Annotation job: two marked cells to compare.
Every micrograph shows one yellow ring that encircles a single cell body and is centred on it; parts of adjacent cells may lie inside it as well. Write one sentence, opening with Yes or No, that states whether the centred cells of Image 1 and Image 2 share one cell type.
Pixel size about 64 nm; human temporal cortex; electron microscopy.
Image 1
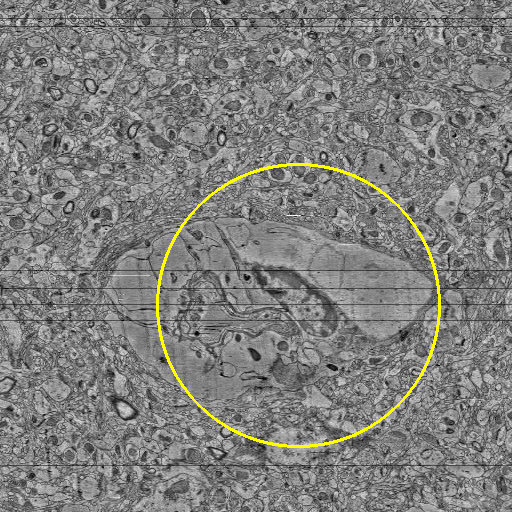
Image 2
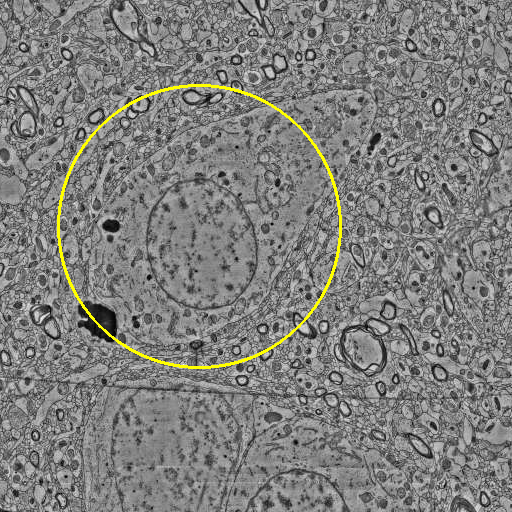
No, the cell centred in Image 1 and the cell centred in Image 2 are of two types.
